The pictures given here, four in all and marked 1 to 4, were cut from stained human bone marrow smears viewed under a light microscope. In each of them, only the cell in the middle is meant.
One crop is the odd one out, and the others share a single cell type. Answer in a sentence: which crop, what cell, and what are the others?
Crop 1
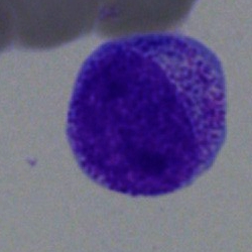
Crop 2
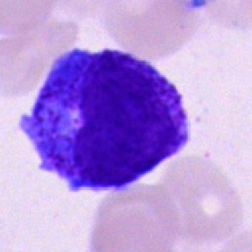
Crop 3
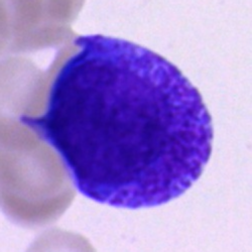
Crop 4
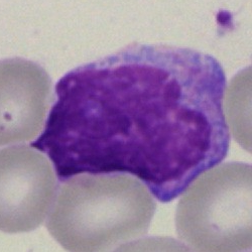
The cells centred in the other crops are all promyelocytes, but crop 4 is a monocyte.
